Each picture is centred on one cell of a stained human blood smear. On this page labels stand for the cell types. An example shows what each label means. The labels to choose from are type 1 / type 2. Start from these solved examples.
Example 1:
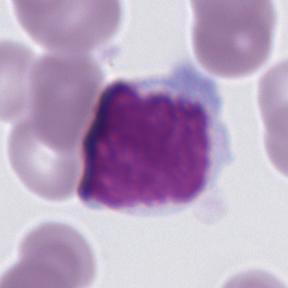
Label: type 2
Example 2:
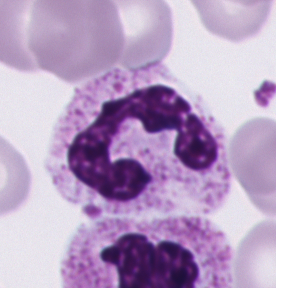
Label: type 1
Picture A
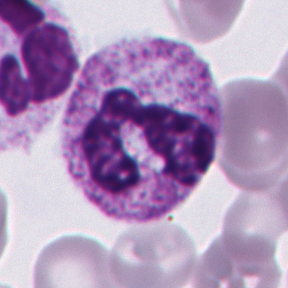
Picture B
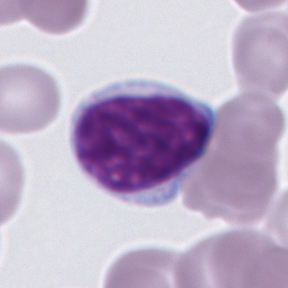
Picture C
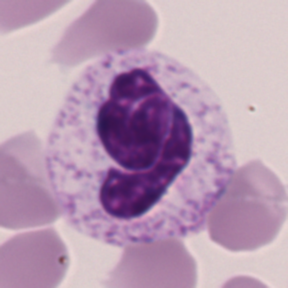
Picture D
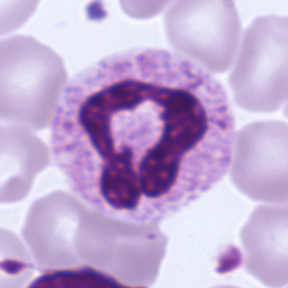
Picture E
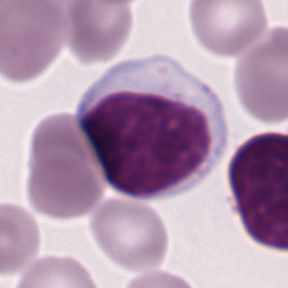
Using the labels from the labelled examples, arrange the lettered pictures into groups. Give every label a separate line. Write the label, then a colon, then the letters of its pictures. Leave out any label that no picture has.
type 1: A, C, D
type 2: B, E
